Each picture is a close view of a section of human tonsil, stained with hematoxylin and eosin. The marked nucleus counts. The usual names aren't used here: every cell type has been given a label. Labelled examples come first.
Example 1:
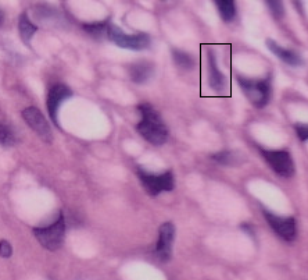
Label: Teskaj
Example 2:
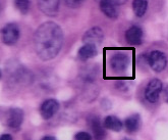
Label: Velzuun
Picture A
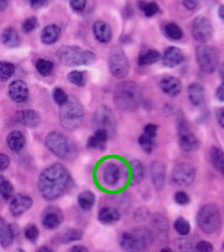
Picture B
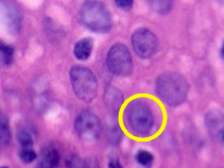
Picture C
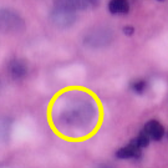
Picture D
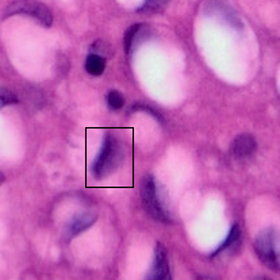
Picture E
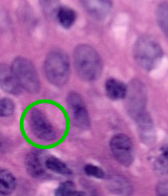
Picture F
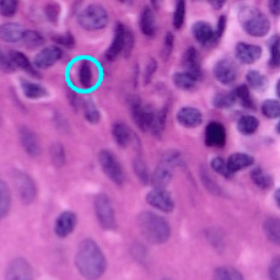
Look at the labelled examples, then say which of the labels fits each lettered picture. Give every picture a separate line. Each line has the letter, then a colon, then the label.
A: Velzuun
B: Teskaj
C: Teskaj
D: Teskaj
E: Teskaj
F: Teskaj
